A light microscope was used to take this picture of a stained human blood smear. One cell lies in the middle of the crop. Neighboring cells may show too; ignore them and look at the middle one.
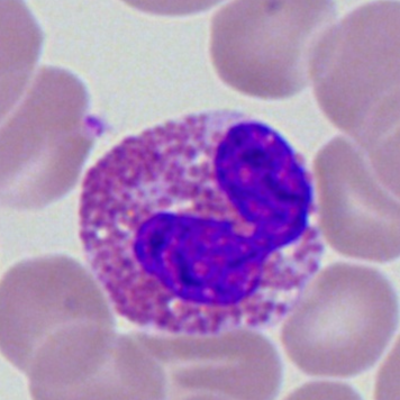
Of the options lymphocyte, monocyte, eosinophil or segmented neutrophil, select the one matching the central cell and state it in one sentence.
The cell that lies at the centre of the crop is an eosinophil.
